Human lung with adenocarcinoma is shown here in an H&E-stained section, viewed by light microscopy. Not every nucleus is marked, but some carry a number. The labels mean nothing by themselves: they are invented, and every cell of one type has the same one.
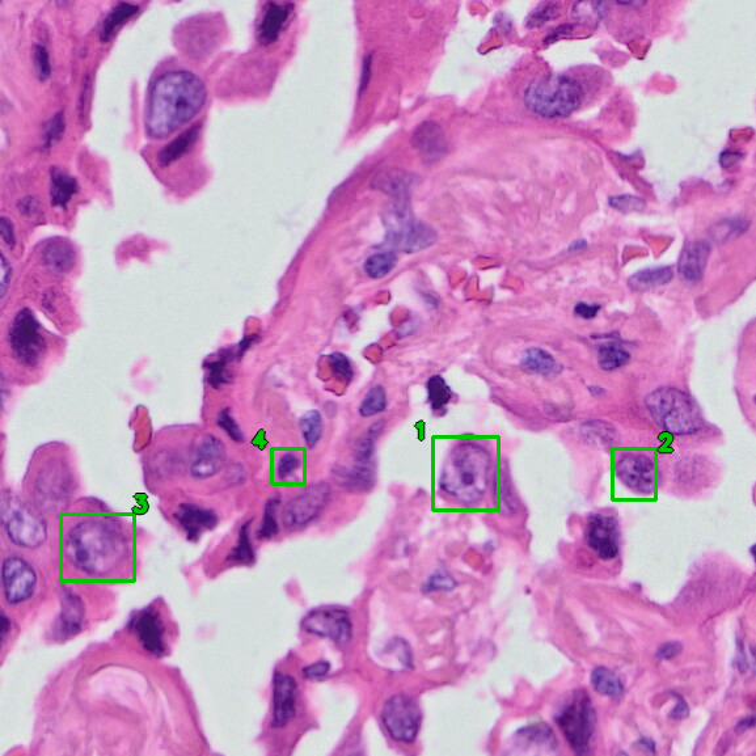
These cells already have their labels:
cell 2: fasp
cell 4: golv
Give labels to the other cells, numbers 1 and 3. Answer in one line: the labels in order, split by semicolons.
fasp; fasp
